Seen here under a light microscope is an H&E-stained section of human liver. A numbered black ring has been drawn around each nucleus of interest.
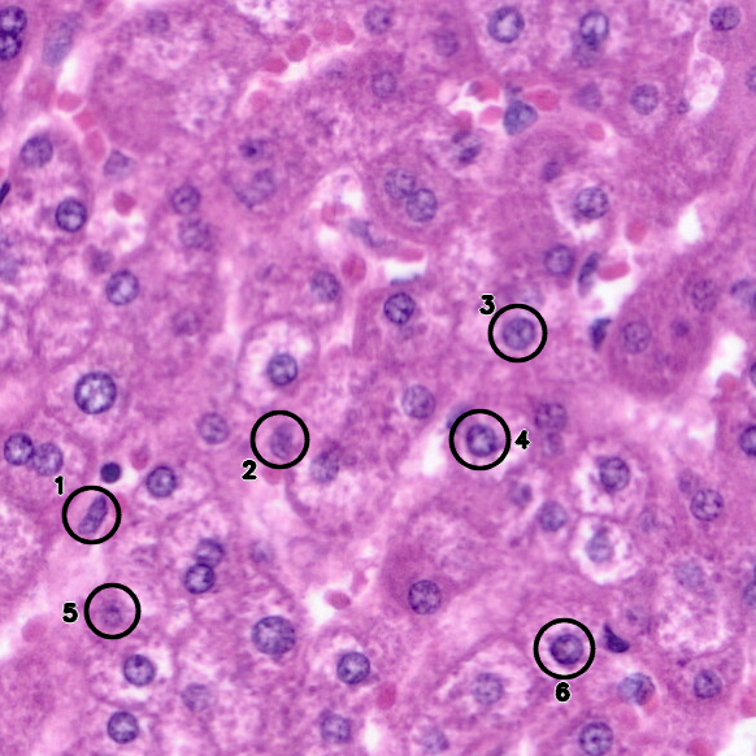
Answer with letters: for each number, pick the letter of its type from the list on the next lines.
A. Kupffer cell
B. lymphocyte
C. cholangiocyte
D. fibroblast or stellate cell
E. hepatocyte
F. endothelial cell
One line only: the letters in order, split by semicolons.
A; F; E; E; E; E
